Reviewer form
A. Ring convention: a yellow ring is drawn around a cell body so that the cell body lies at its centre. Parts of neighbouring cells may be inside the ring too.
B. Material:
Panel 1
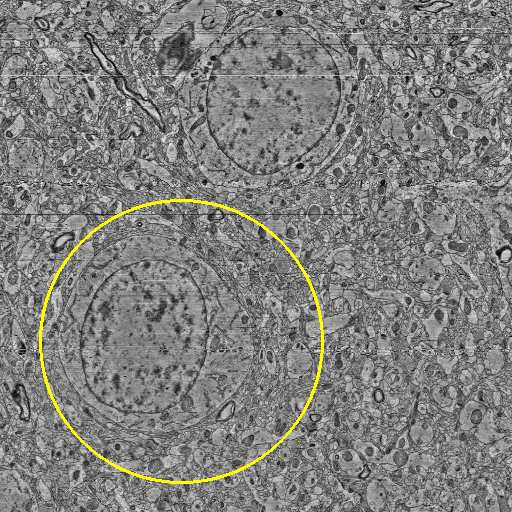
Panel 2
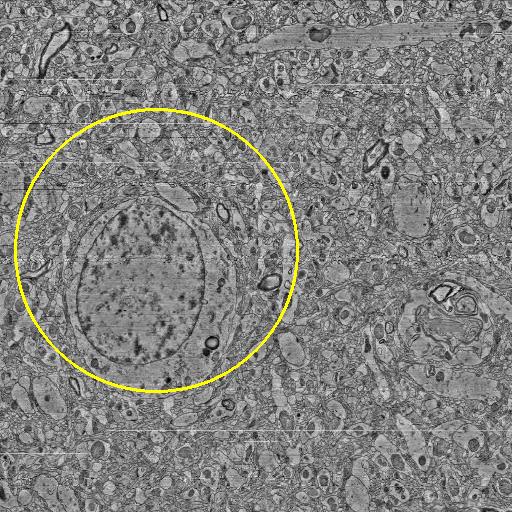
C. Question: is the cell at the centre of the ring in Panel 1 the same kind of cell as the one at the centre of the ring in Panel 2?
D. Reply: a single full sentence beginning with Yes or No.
Yes, the cells in Panel 1 and Panel 2 are the same kind of cell.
